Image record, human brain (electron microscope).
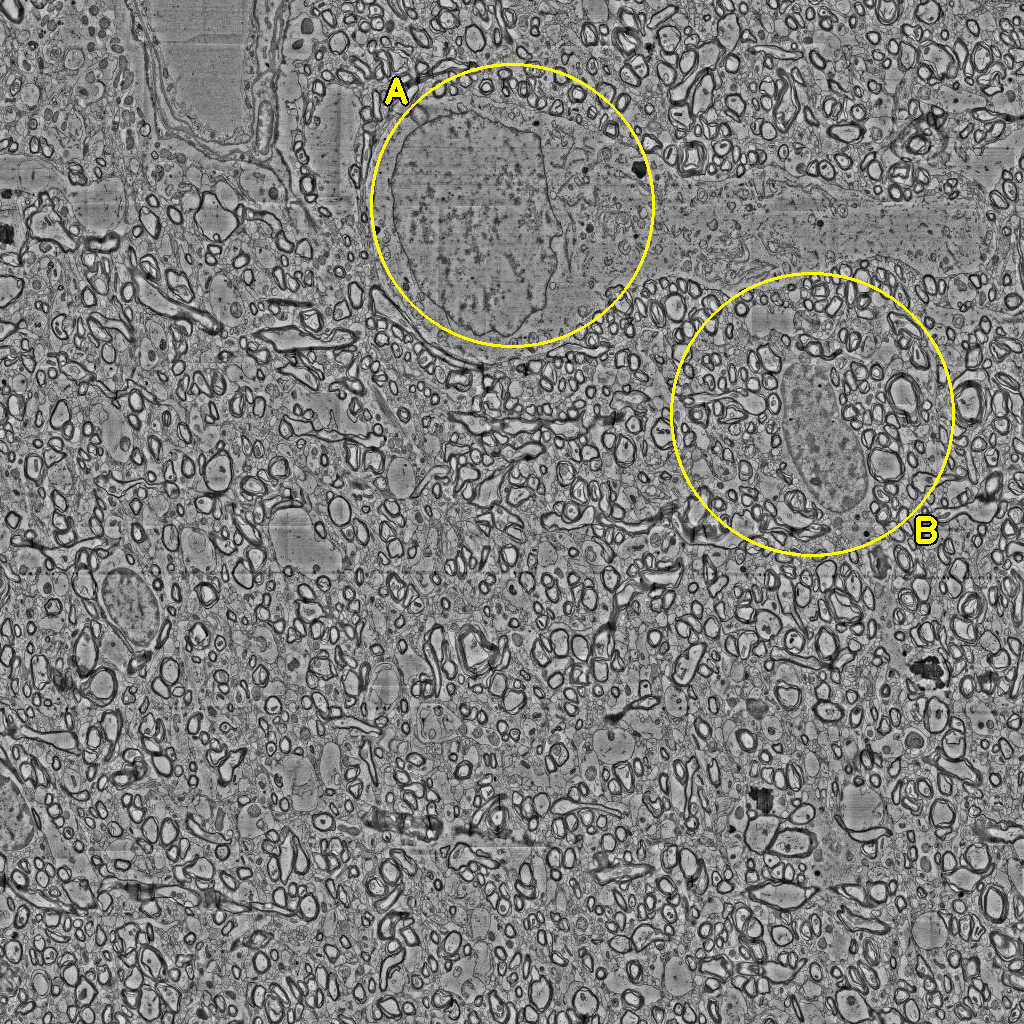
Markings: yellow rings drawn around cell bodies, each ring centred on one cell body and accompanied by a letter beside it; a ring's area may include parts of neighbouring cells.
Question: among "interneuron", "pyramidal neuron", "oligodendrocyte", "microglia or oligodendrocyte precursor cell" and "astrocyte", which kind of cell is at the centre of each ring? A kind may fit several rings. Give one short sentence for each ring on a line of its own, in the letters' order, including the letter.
Ring A is centred on the cell body of a pyramidal neuron.
Ring B is centred on the cell body of an oligodendrocyte.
